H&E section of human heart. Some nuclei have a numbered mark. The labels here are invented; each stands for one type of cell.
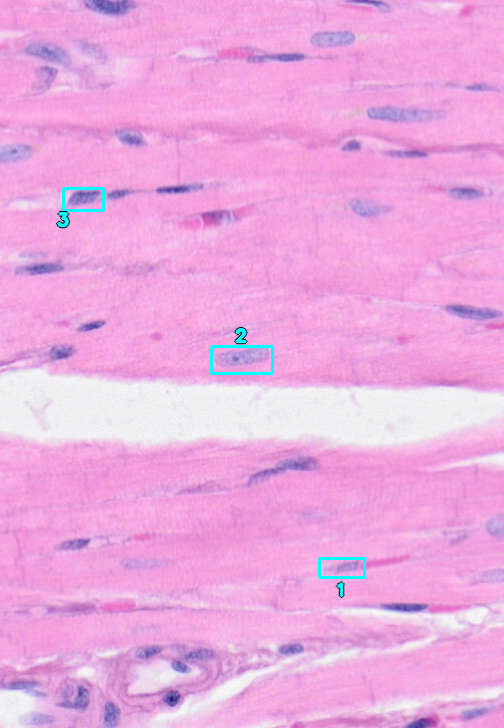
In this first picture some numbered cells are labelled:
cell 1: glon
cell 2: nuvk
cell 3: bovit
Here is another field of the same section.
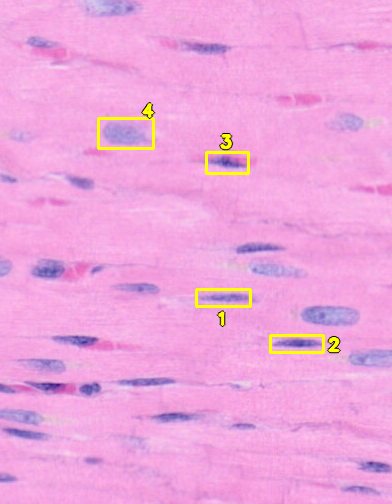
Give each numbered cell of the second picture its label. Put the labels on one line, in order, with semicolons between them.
bovit; glon; glon; nuvk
